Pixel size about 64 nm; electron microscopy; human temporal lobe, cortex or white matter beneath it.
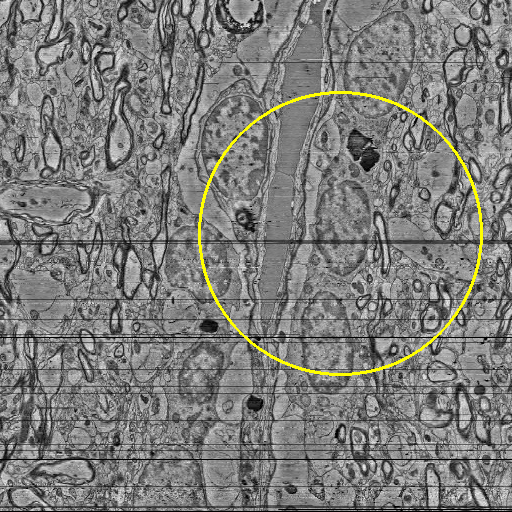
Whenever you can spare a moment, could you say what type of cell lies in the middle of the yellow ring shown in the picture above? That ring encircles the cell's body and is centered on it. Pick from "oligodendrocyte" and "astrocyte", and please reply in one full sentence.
The cell whose body sits at the middle of the yellow ring is an oligodendrocyte.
